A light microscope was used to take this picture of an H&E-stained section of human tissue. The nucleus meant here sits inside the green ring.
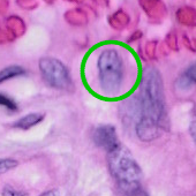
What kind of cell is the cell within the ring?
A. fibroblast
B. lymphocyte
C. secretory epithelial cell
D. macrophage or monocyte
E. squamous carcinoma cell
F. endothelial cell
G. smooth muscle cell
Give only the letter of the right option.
F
